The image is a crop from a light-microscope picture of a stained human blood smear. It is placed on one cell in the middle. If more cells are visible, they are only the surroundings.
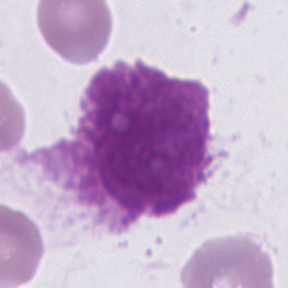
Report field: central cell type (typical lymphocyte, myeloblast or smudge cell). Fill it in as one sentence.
For this crop, the cell in the middle is a smudge cell.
